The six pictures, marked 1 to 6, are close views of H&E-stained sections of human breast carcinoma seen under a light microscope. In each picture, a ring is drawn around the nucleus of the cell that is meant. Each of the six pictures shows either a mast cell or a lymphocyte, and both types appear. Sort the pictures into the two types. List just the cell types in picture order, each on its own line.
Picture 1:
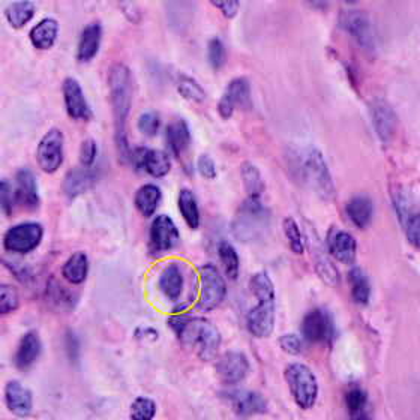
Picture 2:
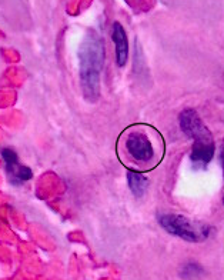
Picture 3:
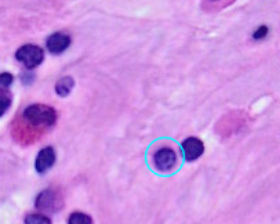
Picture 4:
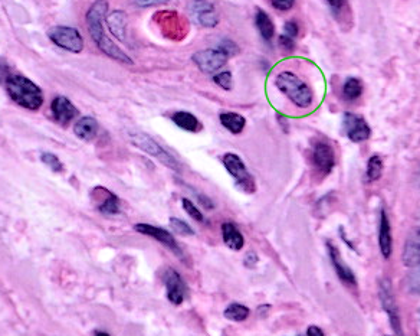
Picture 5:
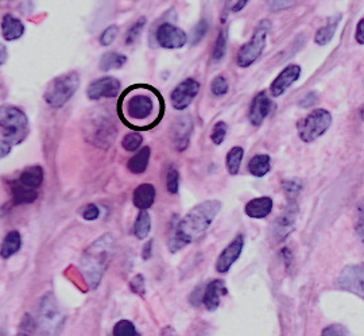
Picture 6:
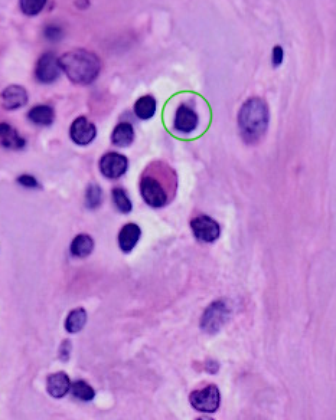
lymphocyte
mast cell
lymphocyte
mast cell
lymphocyte
lymphocyte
